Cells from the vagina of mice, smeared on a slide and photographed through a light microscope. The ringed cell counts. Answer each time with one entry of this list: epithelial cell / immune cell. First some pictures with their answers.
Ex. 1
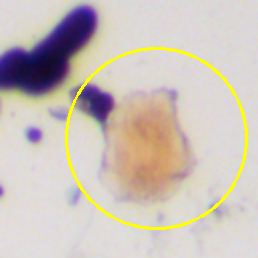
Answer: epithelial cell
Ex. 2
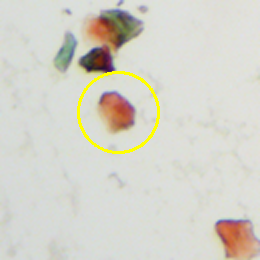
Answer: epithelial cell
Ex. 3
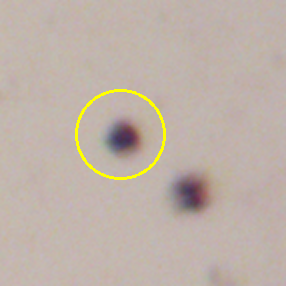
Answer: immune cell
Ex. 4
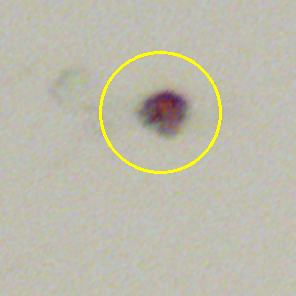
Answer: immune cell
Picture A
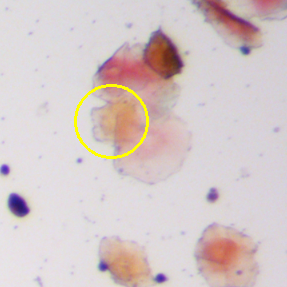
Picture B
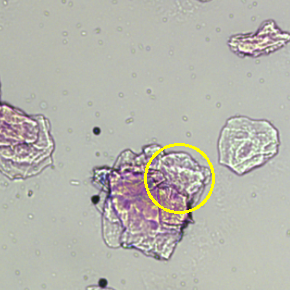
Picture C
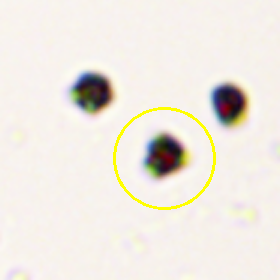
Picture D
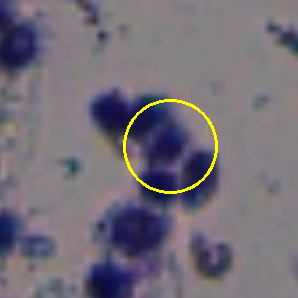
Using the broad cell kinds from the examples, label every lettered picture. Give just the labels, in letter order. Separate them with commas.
epithelial cell, epithelial cell, immune cell, immune cell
